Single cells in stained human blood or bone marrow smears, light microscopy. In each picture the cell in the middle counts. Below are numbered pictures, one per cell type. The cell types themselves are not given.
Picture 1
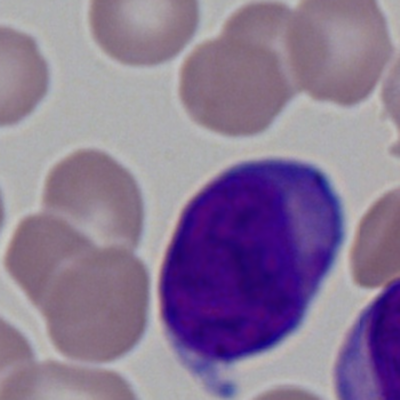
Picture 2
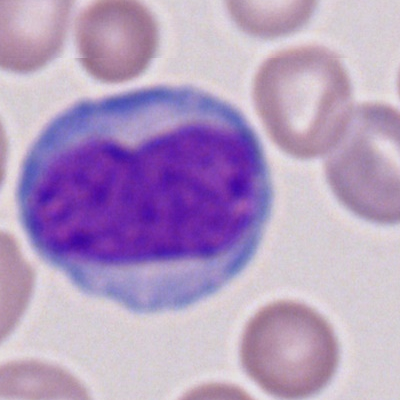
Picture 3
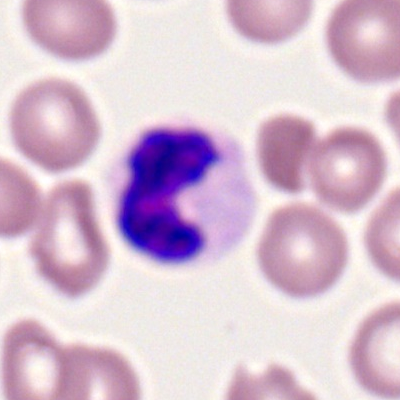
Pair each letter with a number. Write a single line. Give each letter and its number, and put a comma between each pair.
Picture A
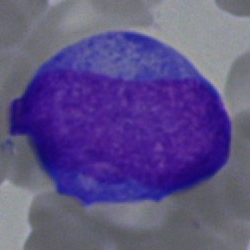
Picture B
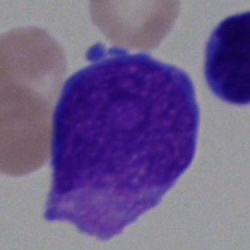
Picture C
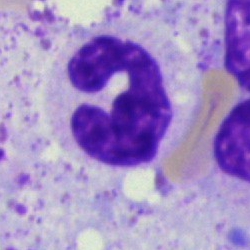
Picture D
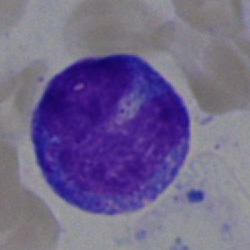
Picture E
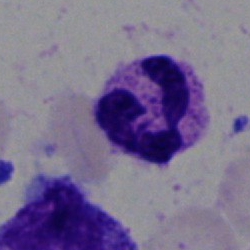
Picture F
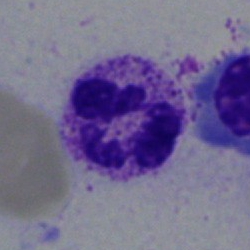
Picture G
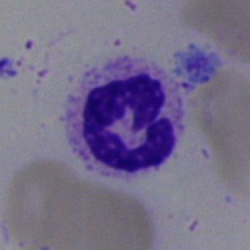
A 1, B 1, C 3, D 2, E 3, F 3, G 3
